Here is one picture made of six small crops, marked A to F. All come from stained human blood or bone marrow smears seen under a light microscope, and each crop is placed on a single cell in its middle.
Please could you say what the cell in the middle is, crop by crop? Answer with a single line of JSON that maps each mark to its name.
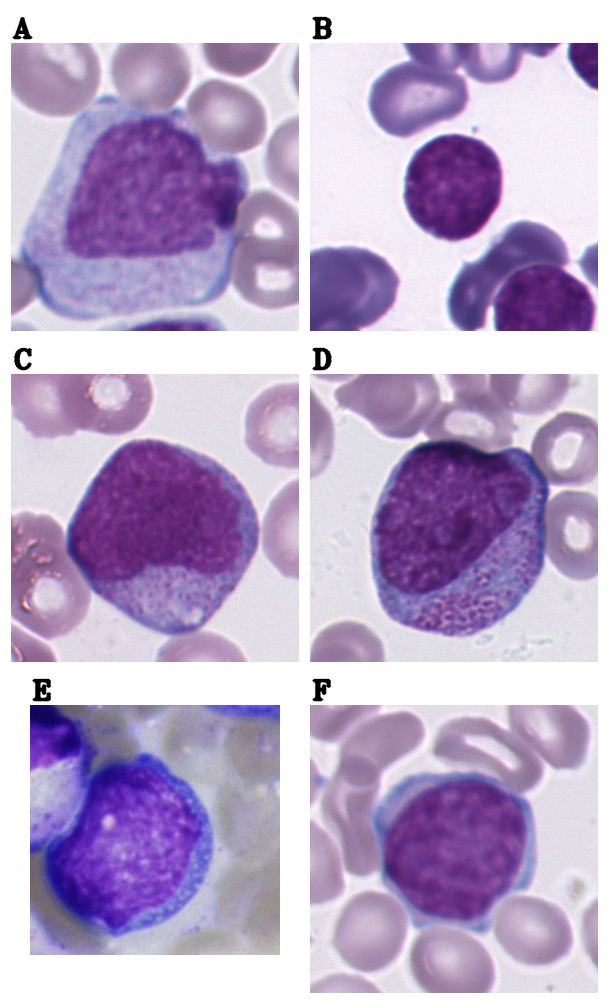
{"A": "promyelocyte", "B": "blast", "C": "promyelocyte", "D": "promyelocyte", "E": "blast", "F": "blast"}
